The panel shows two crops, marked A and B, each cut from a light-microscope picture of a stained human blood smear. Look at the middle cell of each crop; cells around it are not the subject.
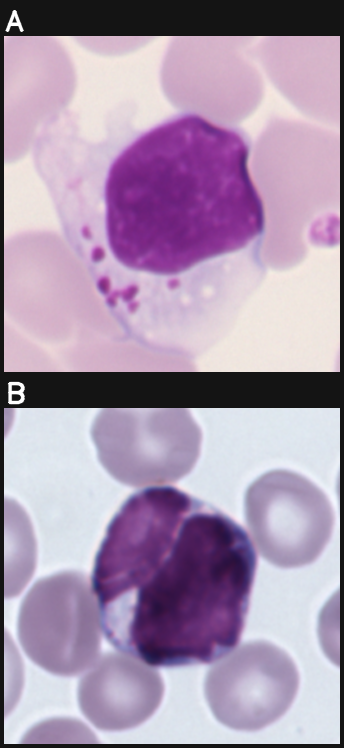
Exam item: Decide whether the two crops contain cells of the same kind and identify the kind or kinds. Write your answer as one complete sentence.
Yes, both crops show large granular lymphocytes, and nothing else needs adding.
